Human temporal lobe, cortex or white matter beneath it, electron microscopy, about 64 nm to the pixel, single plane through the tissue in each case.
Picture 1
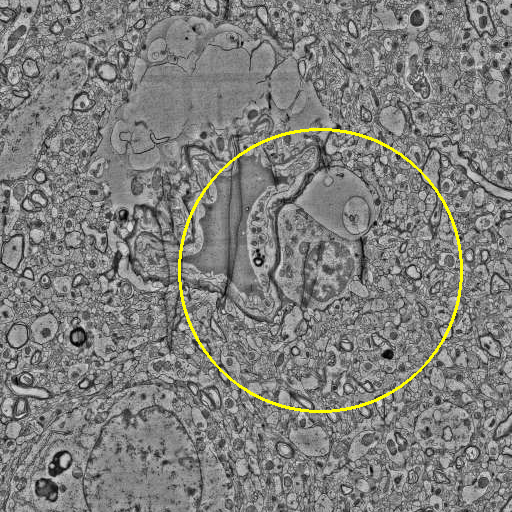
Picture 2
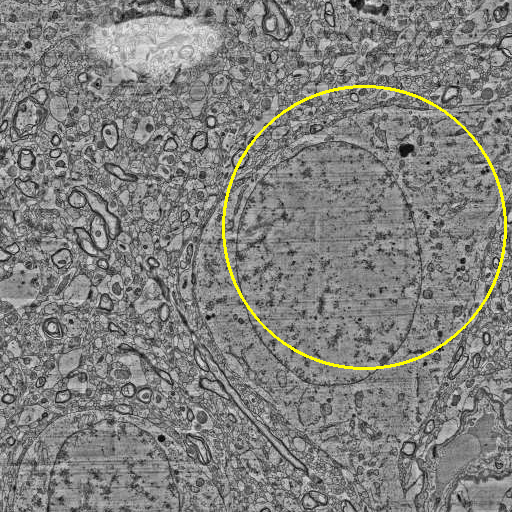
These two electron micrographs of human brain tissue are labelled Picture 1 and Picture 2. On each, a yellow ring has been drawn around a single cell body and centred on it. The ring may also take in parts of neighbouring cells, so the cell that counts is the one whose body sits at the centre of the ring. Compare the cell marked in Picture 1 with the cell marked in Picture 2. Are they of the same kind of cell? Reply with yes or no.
no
